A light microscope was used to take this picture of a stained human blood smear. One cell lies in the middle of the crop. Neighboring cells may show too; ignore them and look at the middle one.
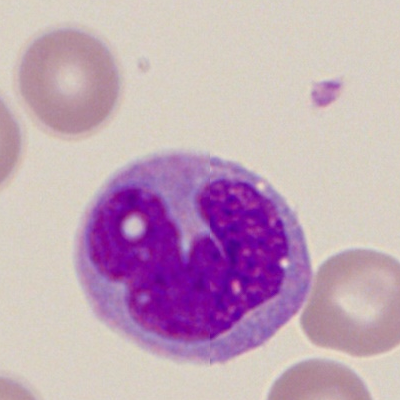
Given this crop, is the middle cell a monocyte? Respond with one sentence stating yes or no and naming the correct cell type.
Yes, the cell in the center of this crop is a monocyte.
